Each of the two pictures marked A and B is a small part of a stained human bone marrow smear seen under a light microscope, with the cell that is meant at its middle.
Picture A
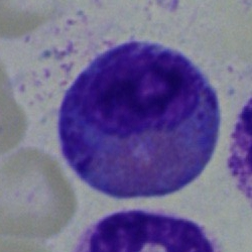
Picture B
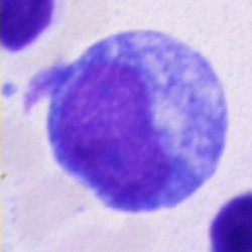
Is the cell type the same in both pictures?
no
